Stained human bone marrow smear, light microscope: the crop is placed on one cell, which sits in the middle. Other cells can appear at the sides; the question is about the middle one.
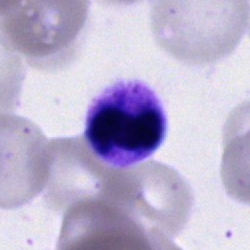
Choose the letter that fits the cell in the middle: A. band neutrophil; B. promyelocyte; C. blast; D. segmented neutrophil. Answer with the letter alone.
D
